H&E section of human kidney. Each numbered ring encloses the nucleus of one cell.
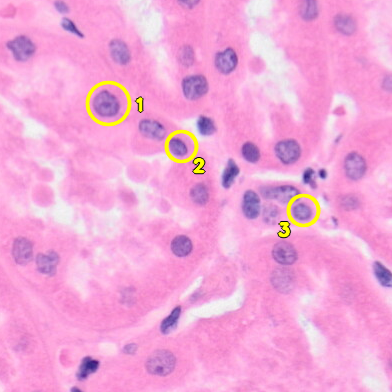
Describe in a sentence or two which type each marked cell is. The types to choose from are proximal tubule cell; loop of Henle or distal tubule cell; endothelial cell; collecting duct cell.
Cell 1 is a proximal tubule cell, cell 2 is a proximal tubule cell and cell 3 is a collecting duct cell.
